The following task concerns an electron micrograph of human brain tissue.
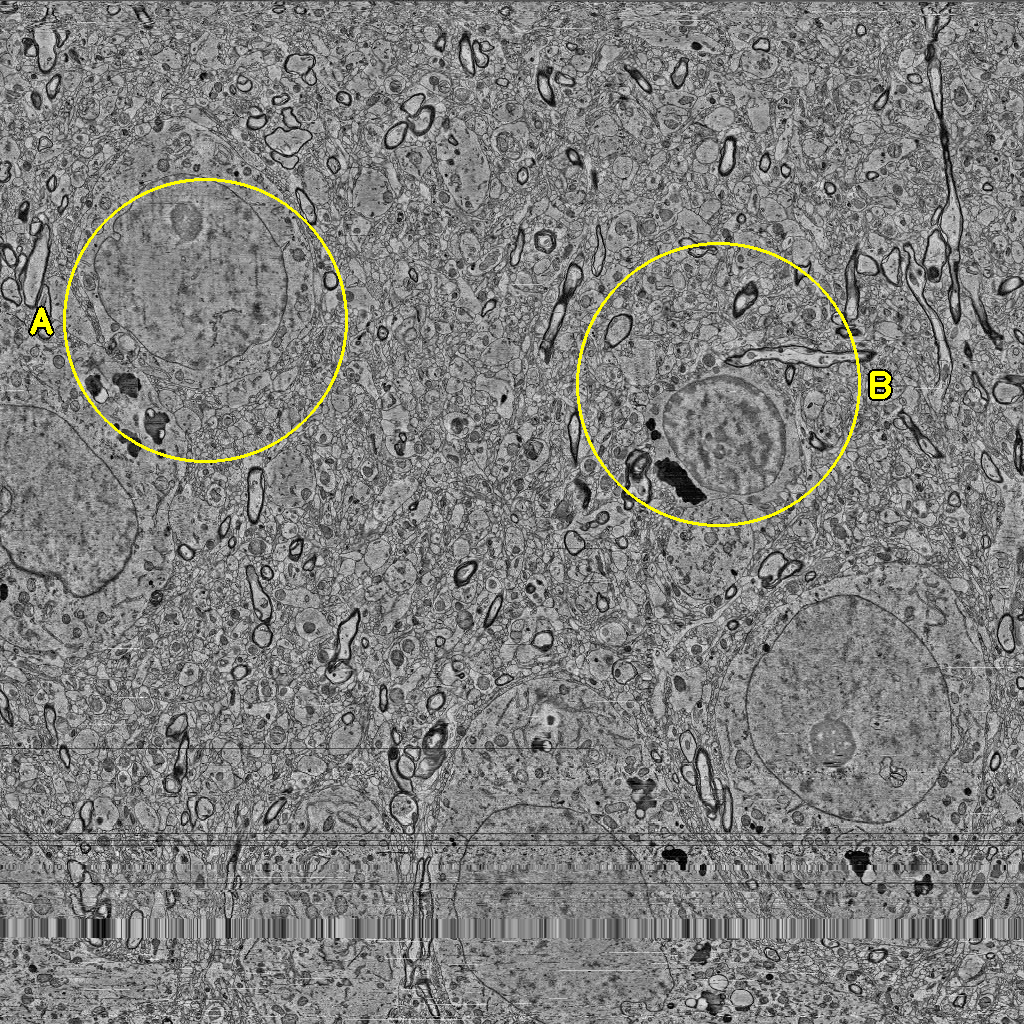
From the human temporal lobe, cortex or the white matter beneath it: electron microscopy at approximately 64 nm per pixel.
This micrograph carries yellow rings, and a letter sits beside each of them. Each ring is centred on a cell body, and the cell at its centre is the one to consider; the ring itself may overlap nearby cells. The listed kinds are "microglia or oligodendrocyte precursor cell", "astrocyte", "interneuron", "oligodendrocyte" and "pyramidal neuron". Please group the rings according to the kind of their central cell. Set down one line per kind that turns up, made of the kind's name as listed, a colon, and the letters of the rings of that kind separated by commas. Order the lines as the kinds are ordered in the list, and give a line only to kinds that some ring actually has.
oligodendrocyte: B
pyramidal neuron: A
